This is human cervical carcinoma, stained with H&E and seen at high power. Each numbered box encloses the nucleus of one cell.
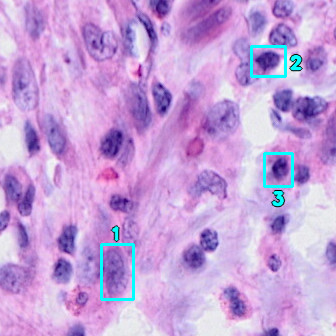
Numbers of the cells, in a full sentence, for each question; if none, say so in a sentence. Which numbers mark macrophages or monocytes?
Of the numbered cells, zero are macrophages or monocytes.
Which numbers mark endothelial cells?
Of the marked cells, the one numbered 1 is an endothelial cell and the rest are not.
